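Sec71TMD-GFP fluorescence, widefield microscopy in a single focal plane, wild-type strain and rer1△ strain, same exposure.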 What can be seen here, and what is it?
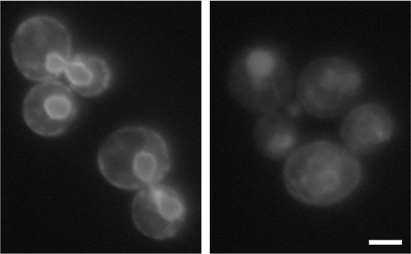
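In the left image each cell has a bright, sharply drawn ring in its interior around the nucleus, and a thin, fainter line follows the inside of the cell edge. In the right image the bright inner rings are gone. The fluorescence is a dimmer, more diffuse haze filling the cells, with some brighter rounded interior areas.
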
